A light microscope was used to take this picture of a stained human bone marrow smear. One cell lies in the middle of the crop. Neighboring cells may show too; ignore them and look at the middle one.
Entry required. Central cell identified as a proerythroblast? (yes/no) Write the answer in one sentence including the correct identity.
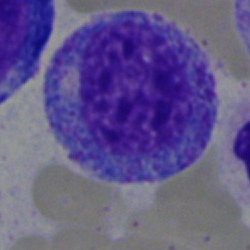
No, the middle of the crop holds a promyelocyte, not a proerythroblast.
